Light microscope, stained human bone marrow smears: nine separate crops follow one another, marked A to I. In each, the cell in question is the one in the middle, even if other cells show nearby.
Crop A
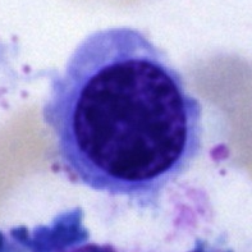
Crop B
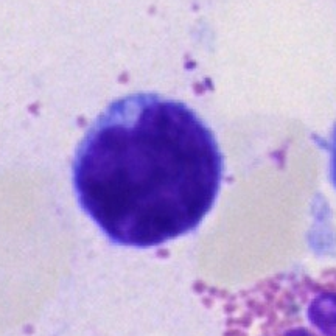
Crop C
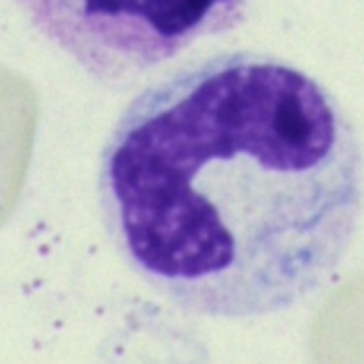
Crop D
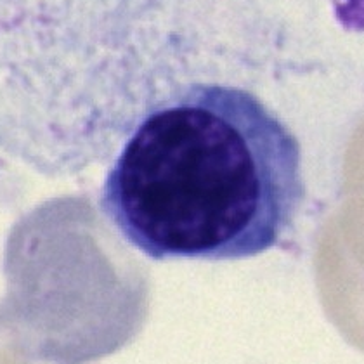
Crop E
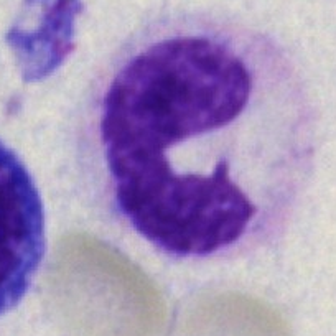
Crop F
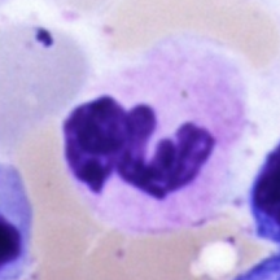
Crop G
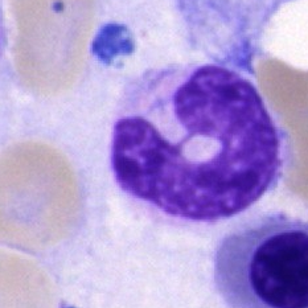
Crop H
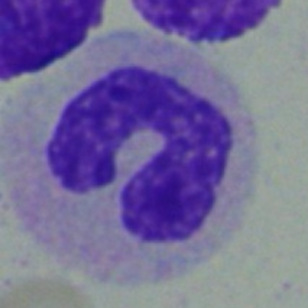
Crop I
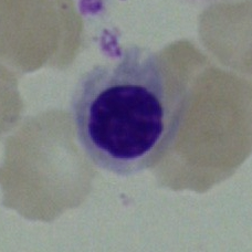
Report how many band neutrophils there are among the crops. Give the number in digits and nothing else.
4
